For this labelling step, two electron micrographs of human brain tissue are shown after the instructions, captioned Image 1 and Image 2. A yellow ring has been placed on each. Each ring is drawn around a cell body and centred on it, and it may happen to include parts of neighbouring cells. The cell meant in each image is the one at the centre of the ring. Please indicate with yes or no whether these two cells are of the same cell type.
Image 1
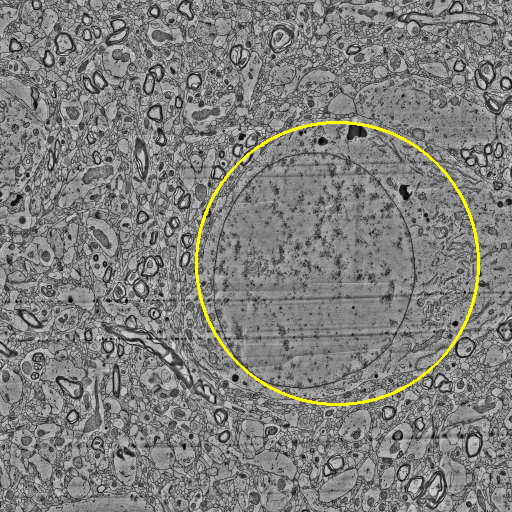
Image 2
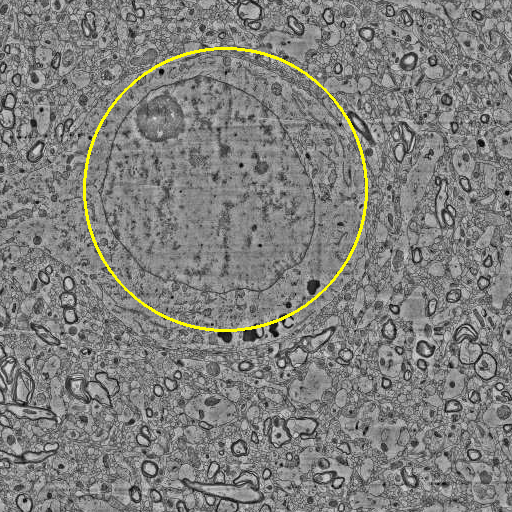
yes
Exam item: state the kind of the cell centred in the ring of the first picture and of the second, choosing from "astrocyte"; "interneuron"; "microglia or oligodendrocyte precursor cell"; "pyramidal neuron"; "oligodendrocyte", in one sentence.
The first and the second cell are each a pyramidal neuron.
